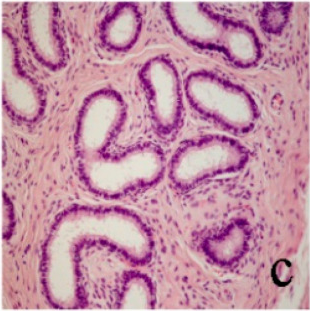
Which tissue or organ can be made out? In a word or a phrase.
epididymis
